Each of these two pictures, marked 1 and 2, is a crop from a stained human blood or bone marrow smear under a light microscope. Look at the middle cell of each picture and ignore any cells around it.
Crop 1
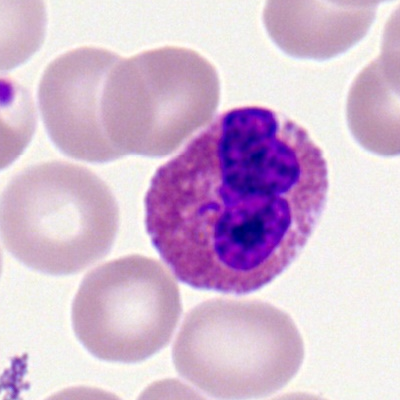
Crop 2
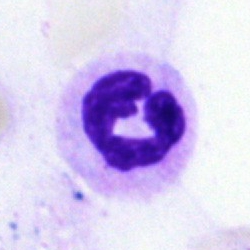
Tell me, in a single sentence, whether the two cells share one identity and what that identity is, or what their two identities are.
No, it is an eosinophil in crop 1 and a neutrophil in crop 2.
